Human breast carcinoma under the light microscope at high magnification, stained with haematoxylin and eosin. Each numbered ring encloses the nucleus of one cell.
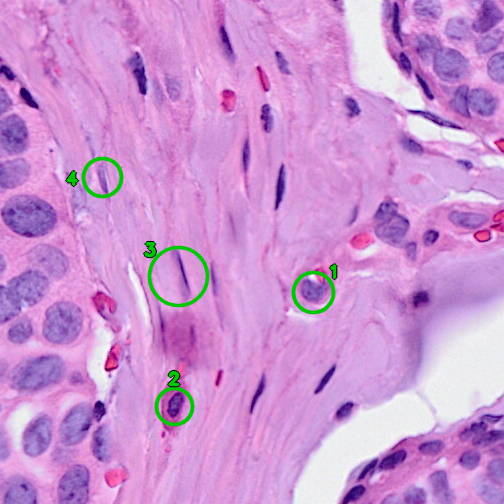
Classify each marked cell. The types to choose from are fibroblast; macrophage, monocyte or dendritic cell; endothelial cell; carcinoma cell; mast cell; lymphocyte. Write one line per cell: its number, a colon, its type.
1: endothelial cell
2: mast cell
3: fibroblast
4: fibroblast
